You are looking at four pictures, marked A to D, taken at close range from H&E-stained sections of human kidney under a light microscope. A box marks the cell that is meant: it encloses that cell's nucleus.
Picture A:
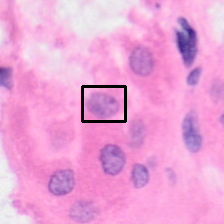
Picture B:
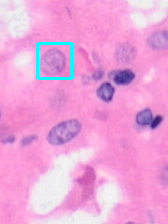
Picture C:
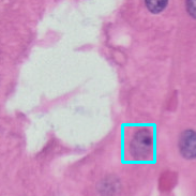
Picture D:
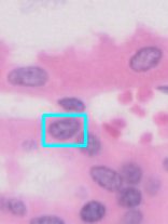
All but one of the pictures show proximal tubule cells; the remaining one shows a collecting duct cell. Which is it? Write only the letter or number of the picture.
D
